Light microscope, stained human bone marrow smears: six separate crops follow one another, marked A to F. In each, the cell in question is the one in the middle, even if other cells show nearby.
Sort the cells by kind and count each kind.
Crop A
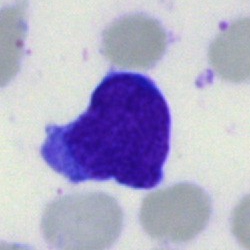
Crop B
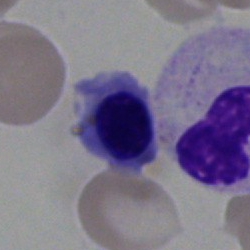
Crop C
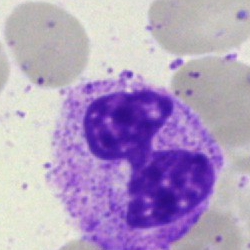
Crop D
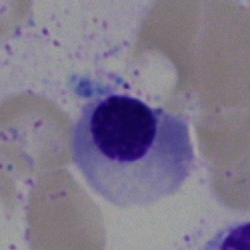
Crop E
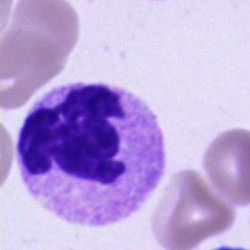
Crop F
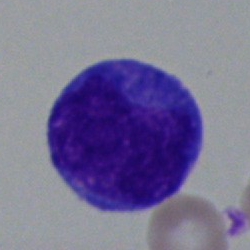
blast: 2
erythroblast: 2
segmented neutrophil: 2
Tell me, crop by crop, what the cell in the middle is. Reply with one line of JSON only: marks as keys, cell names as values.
{"A": "blast", "B": "erythroblast", "C": "segmented neutrophil", "D": "erythroblast", "E": "segmented neutrophil", "F": "blast"}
